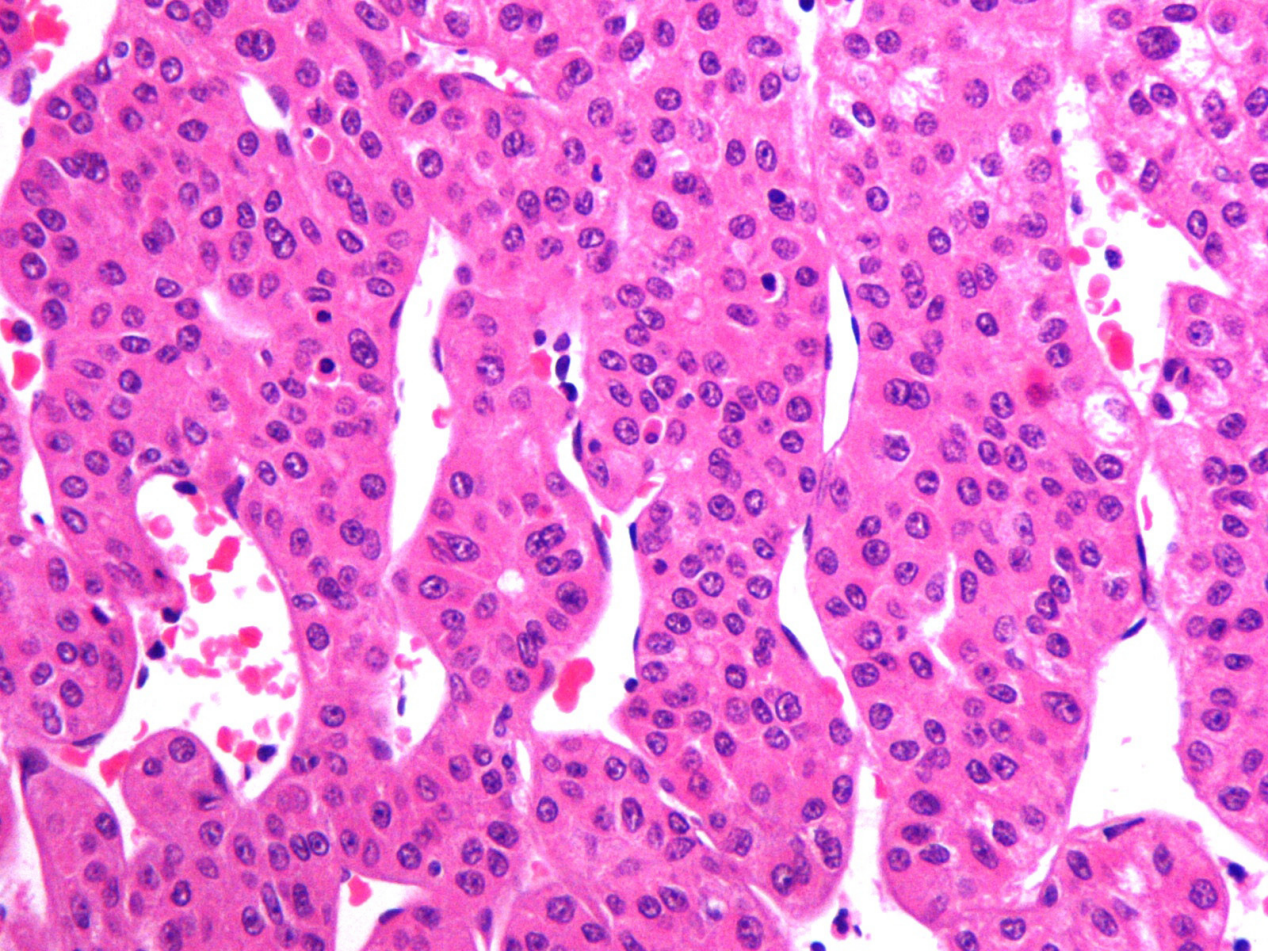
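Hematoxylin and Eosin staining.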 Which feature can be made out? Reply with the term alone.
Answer: trabecular pattern of growth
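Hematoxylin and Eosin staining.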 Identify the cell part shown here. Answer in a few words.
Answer: Eosinophilic cytoplasm.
